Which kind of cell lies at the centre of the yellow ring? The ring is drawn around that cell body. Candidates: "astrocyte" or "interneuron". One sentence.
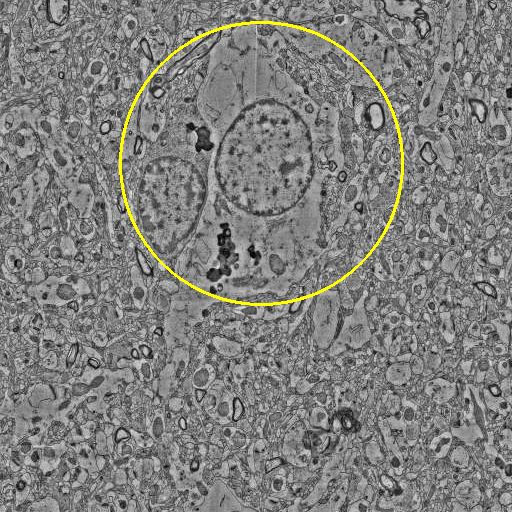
Lying at the centre of the ring is an astrocyte.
